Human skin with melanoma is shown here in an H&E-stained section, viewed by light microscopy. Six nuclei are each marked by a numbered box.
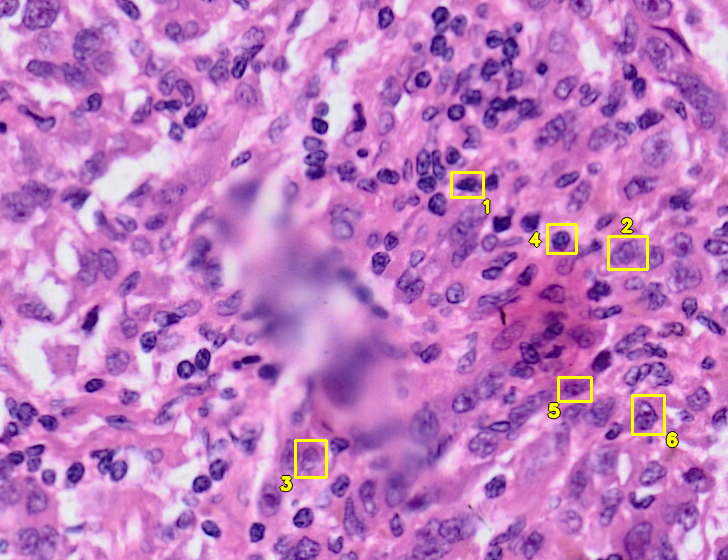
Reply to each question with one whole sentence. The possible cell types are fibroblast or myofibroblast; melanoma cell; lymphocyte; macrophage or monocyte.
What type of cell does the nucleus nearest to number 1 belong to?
It is a lymphocyte whose nucleus is nearest to number 1.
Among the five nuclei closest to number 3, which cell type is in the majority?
Lymphocytes account for more than half of the five nuclei nearest to number 3.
